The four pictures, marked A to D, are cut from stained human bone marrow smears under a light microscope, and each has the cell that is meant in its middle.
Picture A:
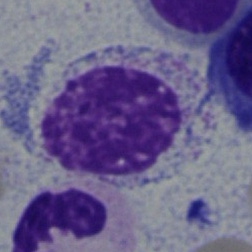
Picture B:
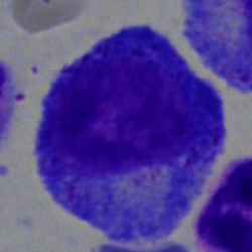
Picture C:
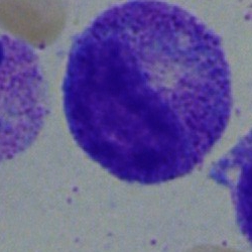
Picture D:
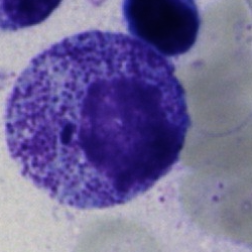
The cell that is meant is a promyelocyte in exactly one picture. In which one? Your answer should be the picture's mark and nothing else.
B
